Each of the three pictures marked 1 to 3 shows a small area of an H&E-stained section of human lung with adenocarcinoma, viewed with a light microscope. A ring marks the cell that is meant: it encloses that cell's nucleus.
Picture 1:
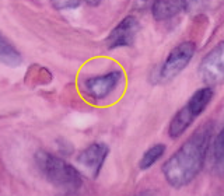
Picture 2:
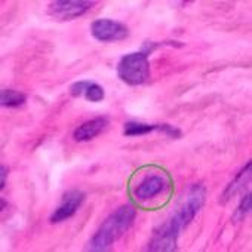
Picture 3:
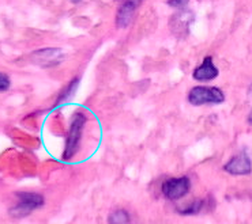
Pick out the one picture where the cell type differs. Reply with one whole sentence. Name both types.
Picture 2 is the odd one out: it shows a “smooth muscle cell or pericyte”, while the others show endothelial cells.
